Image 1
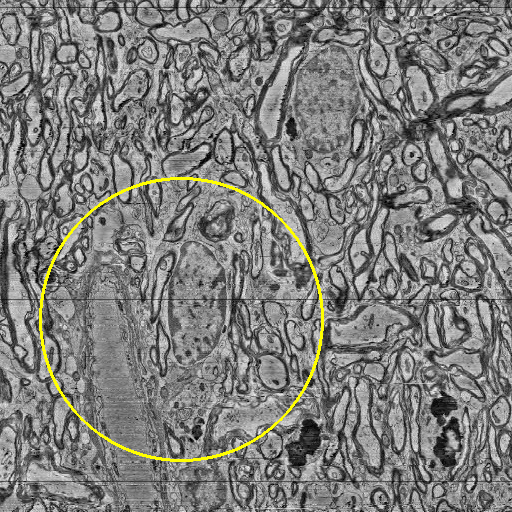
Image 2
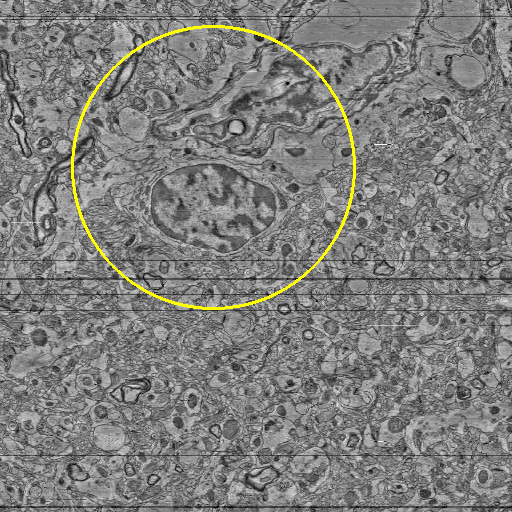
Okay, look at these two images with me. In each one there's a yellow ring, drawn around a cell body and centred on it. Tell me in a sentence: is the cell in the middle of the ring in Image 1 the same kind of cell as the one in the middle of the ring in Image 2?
Yes, they're the same kind of cell.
